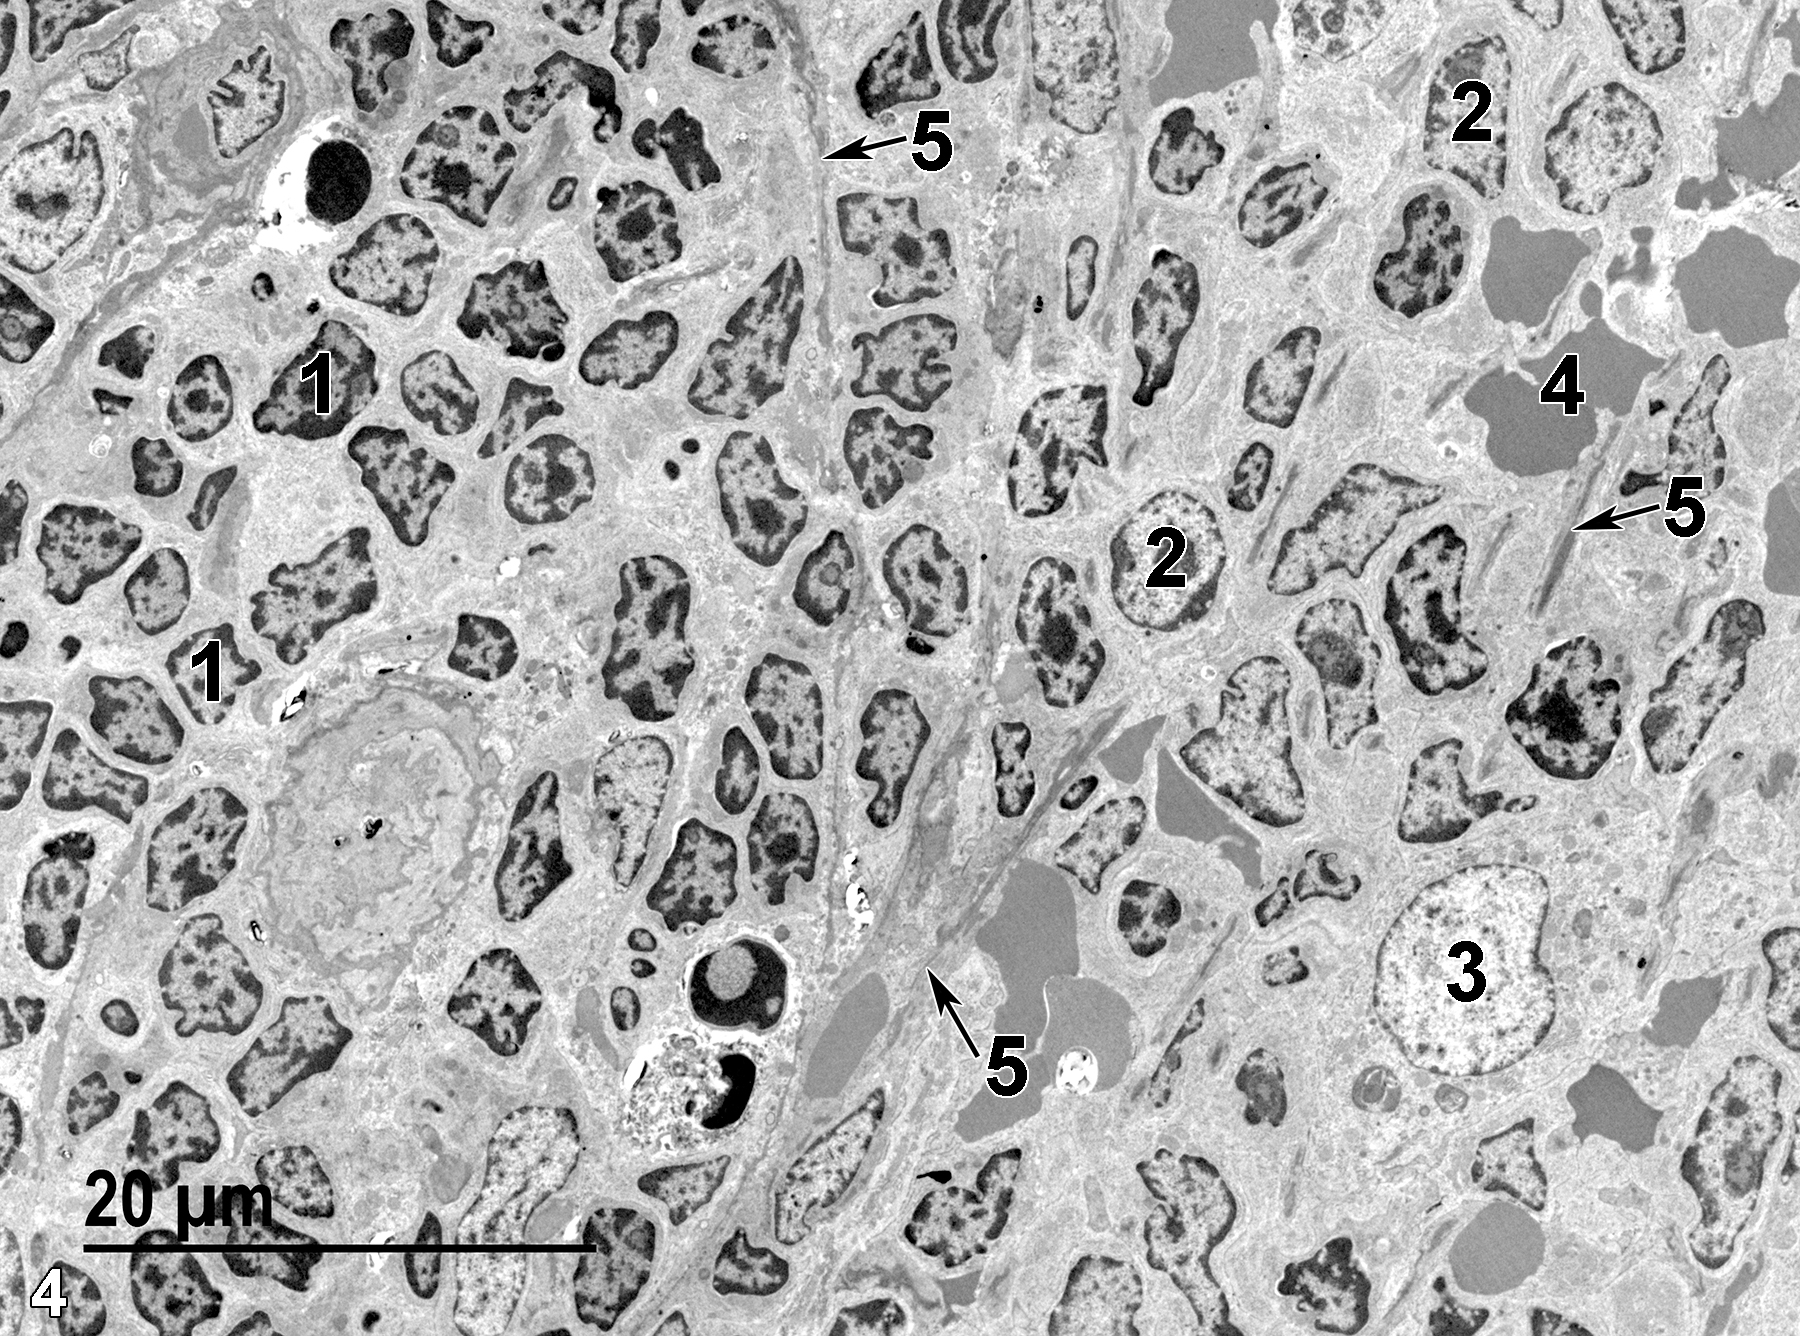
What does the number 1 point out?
The number 1 marks the small lymphocytes.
